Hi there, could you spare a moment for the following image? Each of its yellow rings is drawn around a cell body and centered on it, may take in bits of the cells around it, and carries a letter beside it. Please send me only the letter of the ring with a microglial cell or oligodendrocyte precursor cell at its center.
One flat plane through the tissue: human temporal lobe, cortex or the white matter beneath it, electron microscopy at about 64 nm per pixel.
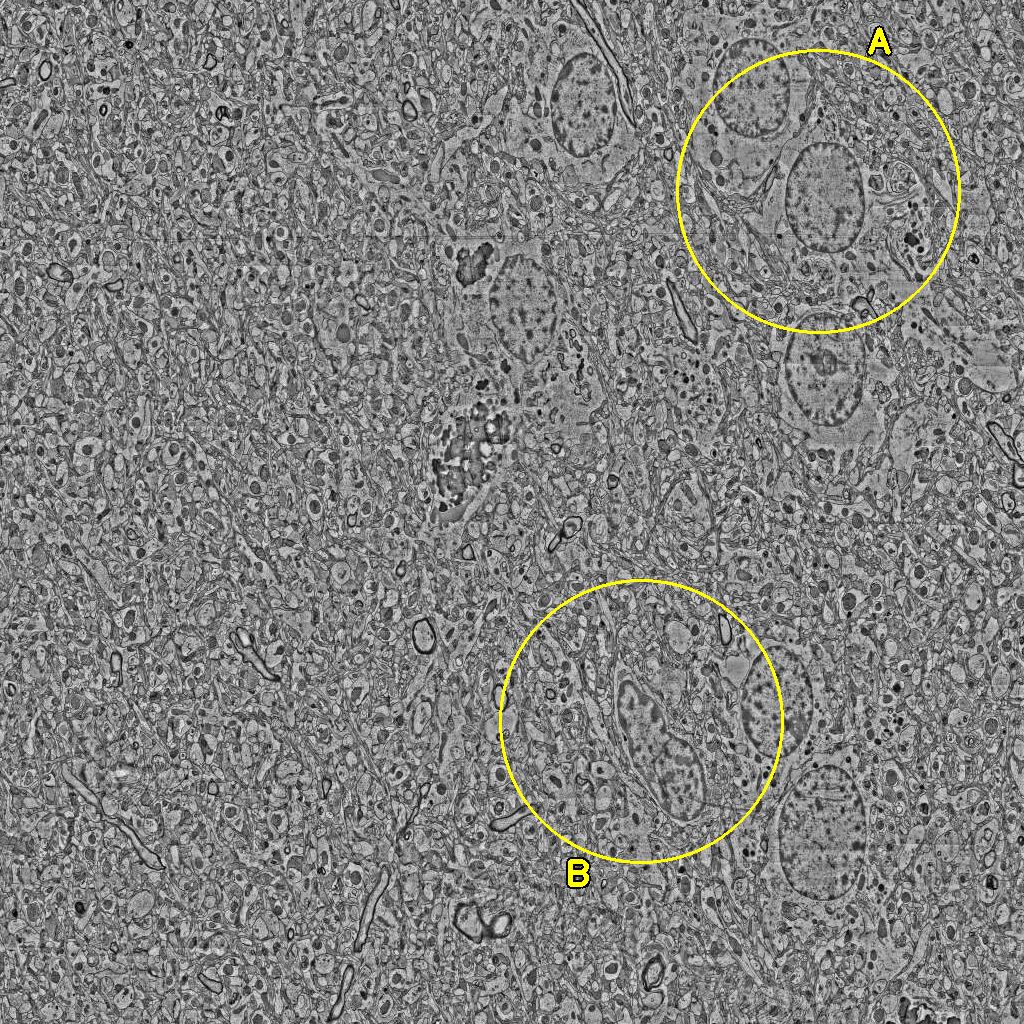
B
